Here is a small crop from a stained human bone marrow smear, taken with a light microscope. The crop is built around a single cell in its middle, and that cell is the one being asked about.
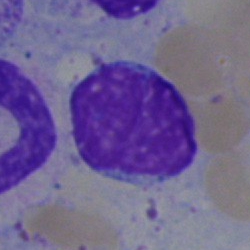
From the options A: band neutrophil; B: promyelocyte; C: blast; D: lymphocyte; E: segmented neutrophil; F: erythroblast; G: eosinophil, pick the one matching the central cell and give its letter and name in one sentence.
In the middle of the crop is a lymphocyte; option D is therefore correct.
